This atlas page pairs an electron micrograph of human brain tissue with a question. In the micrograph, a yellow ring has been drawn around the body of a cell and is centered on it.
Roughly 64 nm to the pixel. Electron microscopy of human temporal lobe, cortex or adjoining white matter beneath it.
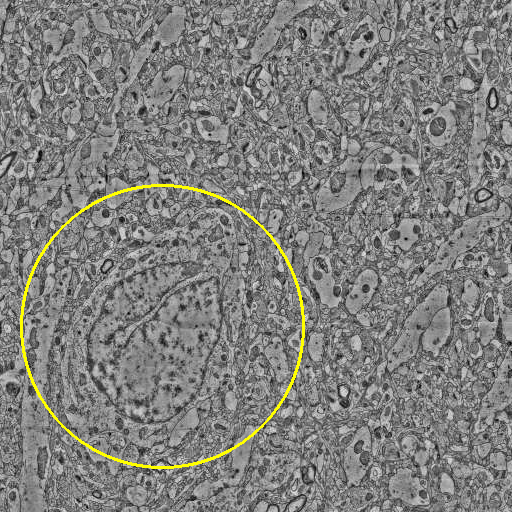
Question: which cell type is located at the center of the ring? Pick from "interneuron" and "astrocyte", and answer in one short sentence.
Located at the center of the ring is an interneuron.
